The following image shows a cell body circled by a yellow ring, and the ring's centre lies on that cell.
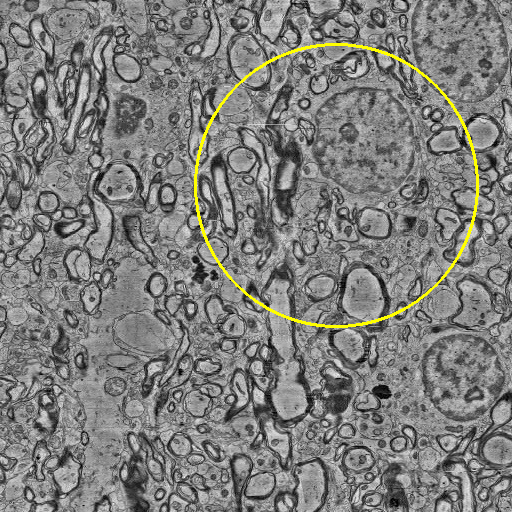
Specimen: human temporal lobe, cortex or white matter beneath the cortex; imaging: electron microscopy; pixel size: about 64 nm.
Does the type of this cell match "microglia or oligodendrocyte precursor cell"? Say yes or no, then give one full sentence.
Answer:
No, the cell at the ring's centre in this picture has a different type.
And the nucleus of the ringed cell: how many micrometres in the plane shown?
Roughly 8 micrometres by 7 micrometres, in this plane.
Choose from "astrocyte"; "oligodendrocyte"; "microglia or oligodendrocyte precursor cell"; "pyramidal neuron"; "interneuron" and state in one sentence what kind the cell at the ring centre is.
The ringed cell in this picture is, instead, an oligodendrocyte.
